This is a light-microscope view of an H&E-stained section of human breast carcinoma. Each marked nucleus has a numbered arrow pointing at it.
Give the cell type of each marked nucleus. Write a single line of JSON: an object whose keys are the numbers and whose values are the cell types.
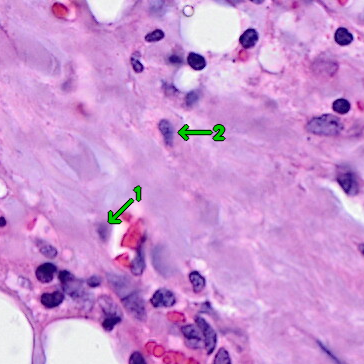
{"1": "endothelial cell", "2": "mast cell"}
